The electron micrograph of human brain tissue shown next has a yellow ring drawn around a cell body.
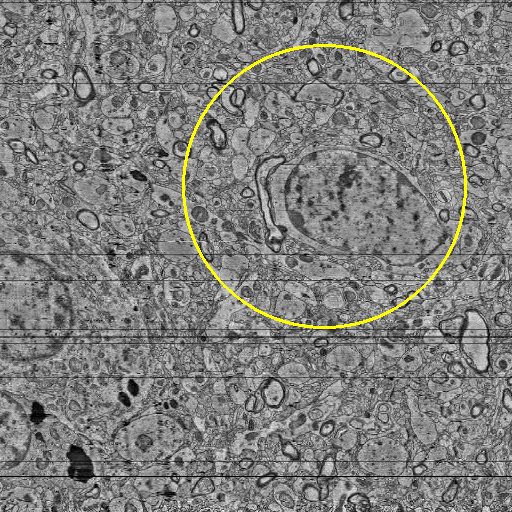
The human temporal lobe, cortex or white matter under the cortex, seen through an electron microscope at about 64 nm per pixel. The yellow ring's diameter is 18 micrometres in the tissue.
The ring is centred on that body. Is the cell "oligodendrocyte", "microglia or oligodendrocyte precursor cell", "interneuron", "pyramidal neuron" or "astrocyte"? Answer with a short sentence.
The cell in question is a microglial cell or oligodendrocyte precursor cell.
